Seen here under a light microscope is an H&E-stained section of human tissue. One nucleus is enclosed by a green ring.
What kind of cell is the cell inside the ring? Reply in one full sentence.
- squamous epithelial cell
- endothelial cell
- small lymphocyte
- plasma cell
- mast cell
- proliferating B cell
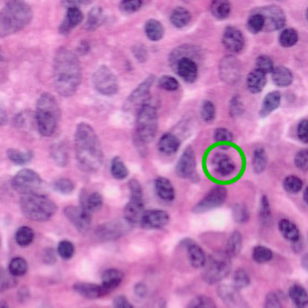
The cell meant here is a plasma cell.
